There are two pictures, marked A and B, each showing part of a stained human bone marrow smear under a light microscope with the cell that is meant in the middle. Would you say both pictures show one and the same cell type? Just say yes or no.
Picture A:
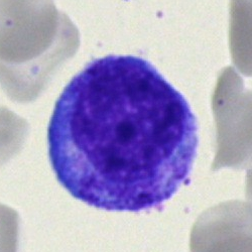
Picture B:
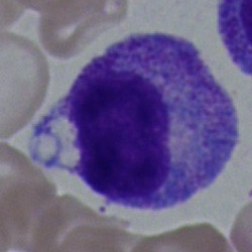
yes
